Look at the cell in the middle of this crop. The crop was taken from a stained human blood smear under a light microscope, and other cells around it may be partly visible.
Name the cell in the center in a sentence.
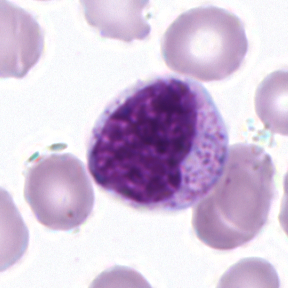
The crop's centre is taken up by a metamyelocyte.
